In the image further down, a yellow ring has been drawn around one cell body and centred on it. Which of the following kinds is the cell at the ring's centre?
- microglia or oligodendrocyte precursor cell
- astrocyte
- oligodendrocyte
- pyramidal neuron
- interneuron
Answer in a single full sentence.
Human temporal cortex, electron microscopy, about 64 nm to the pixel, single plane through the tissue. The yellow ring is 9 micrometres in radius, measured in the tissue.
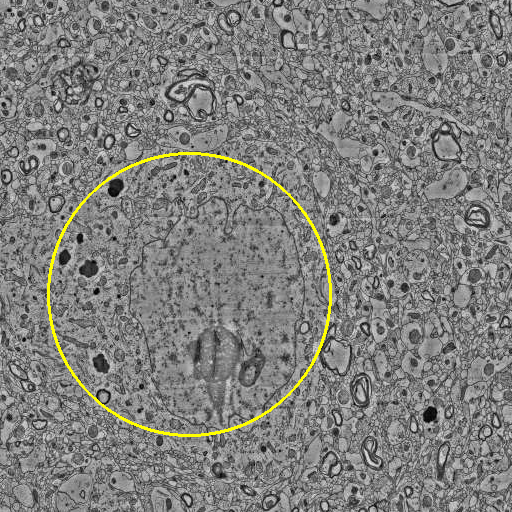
In the picture, the cell sitting at the centre of the yellow ring is a pyramidal neuron.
